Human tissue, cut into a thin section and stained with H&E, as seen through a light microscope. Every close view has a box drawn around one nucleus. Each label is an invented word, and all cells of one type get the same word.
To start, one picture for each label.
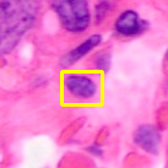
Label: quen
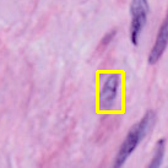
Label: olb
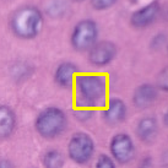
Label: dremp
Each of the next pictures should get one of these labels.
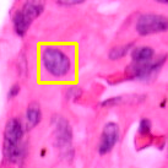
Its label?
quen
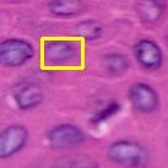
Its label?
dremp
